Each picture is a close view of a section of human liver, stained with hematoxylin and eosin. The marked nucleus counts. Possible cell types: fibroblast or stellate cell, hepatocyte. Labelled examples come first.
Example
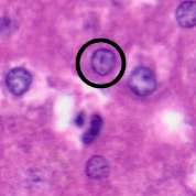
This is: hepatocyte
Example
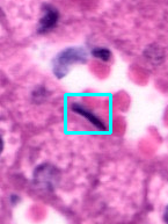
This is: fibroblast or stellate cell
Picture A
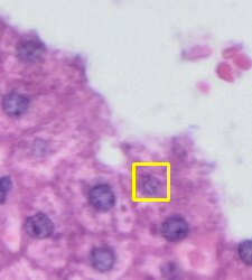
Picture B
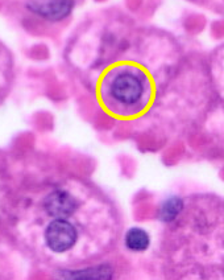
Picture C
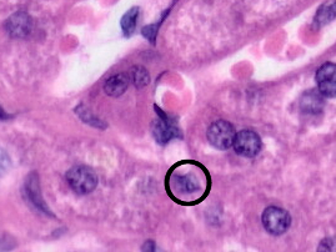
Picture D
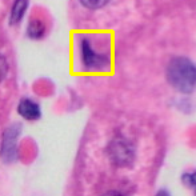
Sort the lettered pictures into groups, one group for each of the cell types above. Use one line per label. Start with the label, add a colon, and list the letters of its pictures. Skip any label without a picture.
fibroblast or stellate cell: C, D
hepatocyte: A, B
